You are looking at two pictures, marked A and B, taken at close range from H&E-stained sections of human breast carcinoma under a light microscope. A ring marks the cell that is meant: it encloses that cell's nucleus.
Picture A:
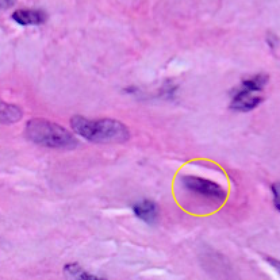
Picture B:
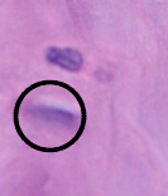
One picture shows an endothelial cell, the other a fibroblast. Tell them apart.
A: endothelial cell
B: fibroblast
